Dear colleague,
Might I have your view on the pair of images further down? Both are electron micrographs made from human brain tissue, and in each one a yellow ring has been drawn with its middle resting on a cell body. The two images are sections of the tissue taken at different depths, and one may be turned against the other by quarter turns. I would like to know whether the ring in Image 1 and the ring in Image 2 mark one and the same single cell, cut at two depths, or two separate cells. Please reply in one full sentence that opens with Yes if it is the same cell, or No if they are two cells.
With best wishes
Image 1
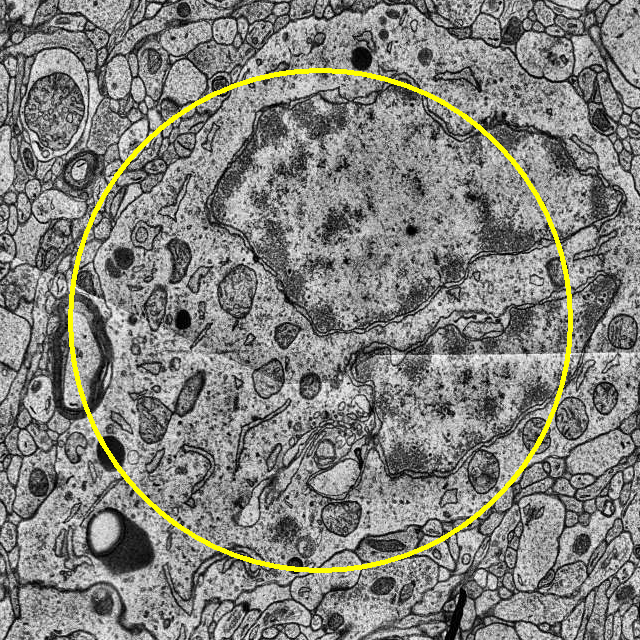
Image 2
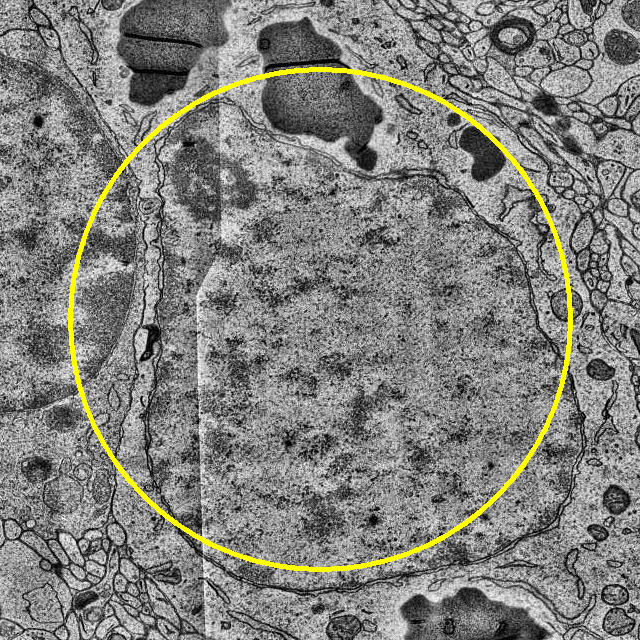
No, the two rings in this image mark separate cells.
